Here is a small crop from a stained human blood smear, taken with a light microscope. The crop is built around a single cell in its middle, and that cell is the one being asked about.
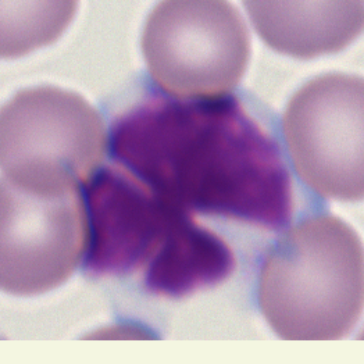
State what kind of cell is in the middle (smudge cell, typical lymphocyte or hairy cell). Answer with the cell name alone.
typical lymphocyte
